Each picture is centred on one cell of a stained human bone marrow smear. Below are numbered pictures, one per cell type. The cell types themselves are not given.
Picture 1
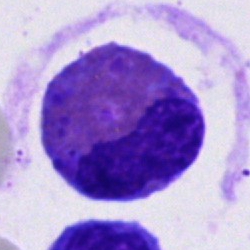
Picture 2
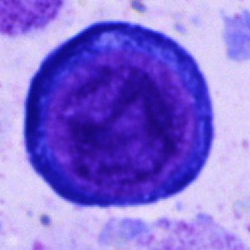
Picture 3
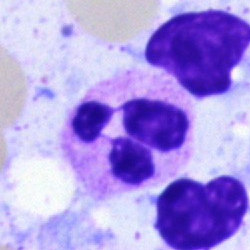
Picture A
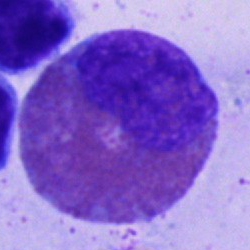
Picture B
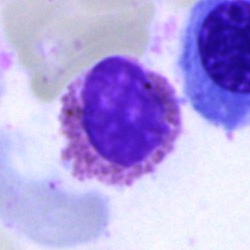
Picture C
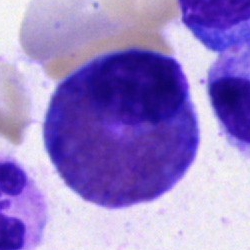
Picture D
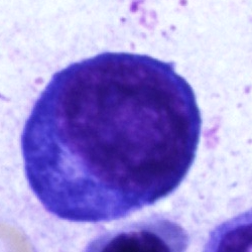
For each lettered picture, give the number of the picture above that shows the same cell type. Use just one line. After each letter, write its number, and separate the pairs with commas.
A 1, B 1, C 1, D 2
